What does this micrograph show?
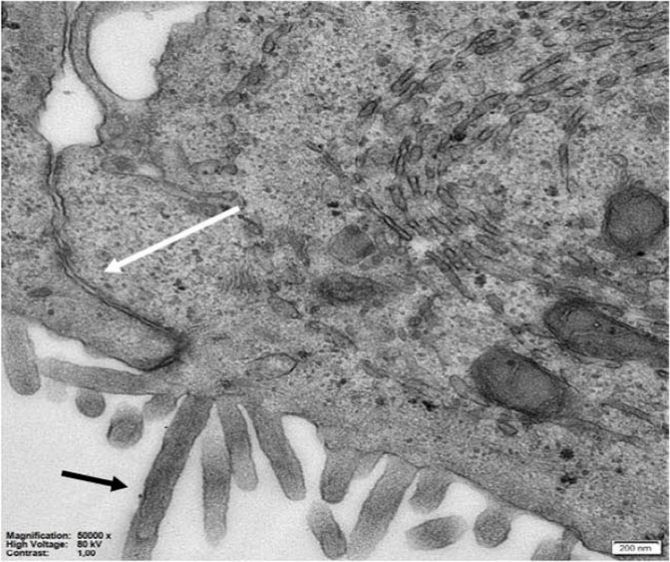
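At high magnification, this electron micrograph shows the apical region of epithelial cells with a junction between neighbouring cells and a brush of microvilli. The plasma membranes of two adjacent cells run closely together as a dark dense line that ends near the free surface, where the cells are sealed to each other. Slender microvilli project from the surface into the open space and are cut both lengthwise and crosswise. The cytoplasm below contains mitochondria with visible cristae and numerous small tubular and vesicular membrane profiles.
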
